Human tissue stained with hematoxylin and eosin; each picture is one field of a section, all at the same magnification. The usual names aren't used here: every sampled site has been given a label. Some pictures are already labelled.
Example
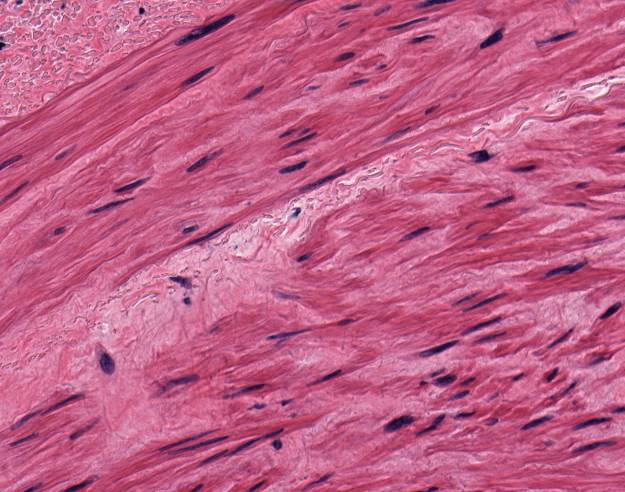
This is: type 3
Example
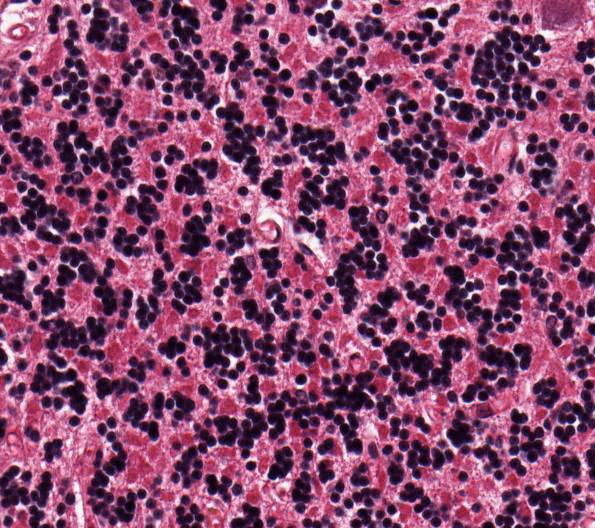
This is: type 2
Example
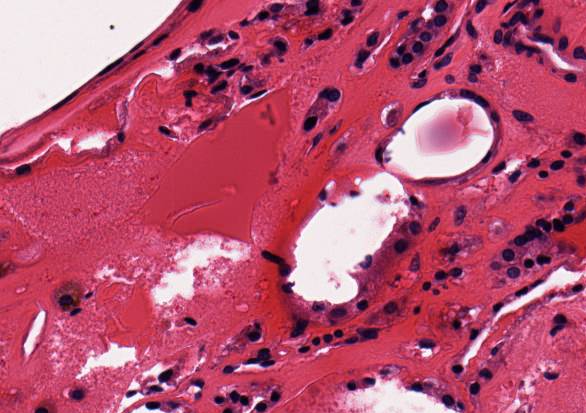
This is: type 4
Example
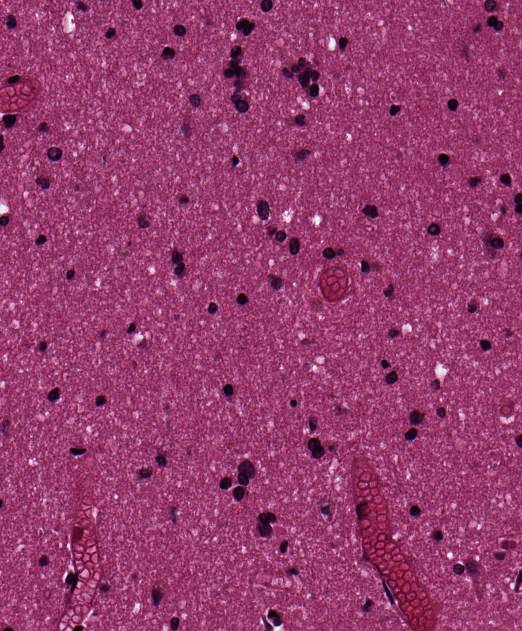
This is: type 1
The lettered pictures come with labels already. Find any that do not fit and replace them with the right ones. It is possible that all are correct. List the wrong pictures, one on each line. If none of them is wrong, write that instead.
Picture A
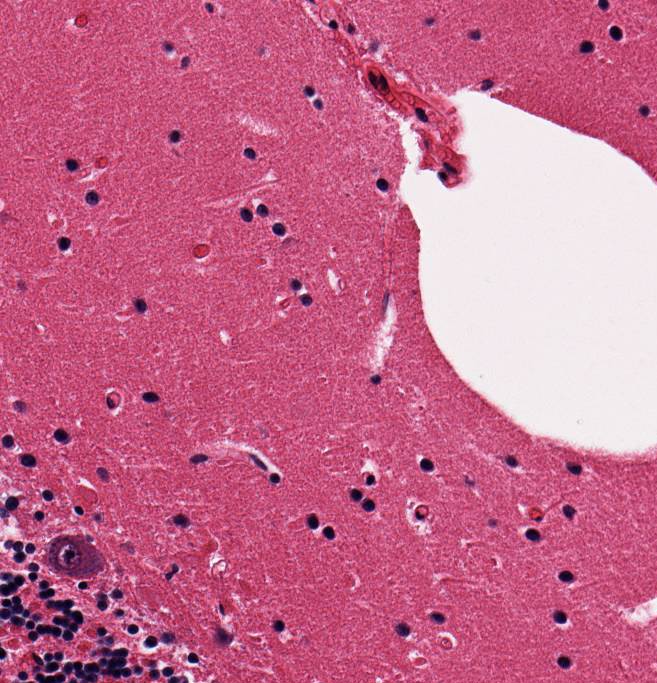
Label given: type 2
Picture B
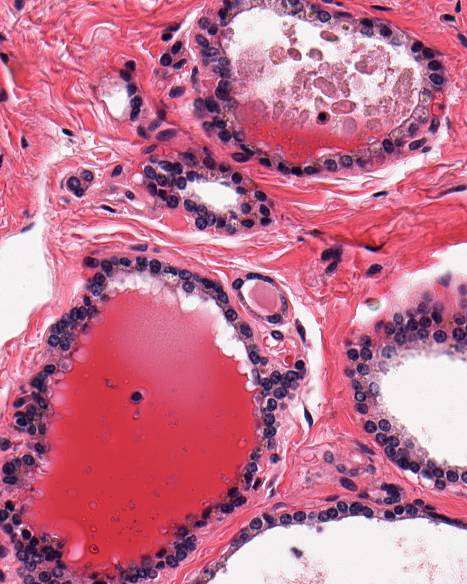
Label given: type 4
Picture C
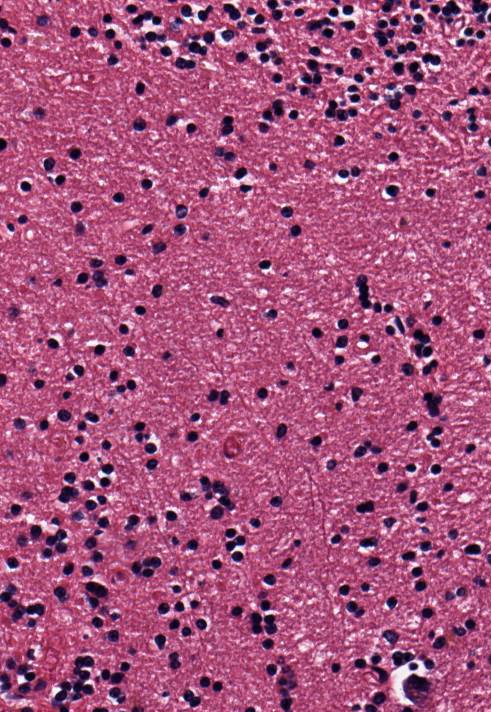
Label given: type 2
Every label is right.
